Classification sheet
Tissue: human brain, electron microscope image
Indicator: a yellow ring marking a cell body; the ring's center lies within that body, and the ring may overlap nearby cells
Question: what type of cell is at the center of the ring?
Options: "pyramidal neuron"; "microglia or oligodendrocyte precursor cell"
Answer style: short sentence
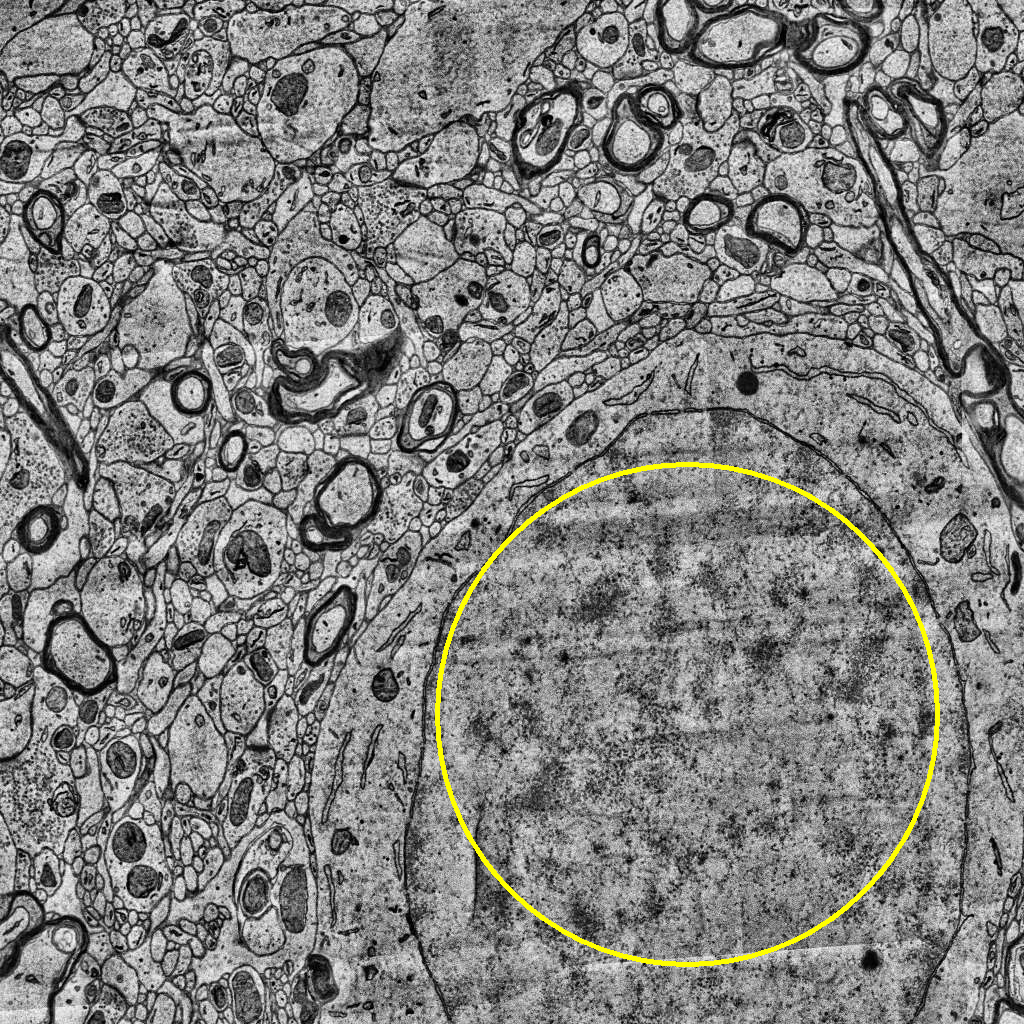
At the ring's center is a pyramidal neuron.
